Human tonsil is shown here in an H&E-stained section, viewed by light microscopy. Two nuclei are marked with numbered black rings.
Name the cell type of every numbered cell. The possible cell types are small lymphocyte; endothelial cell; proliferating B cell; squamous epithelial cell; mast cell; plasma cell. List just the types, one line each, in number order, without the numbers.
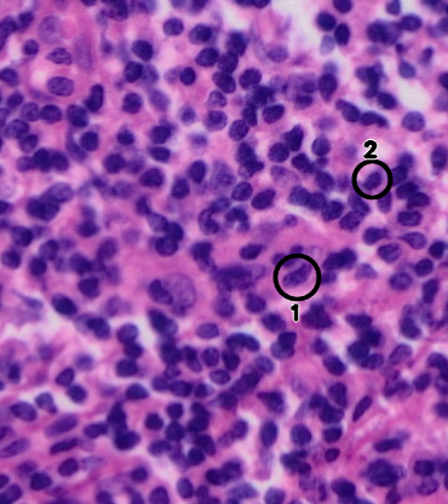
endothelial cell
small lymphocyte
